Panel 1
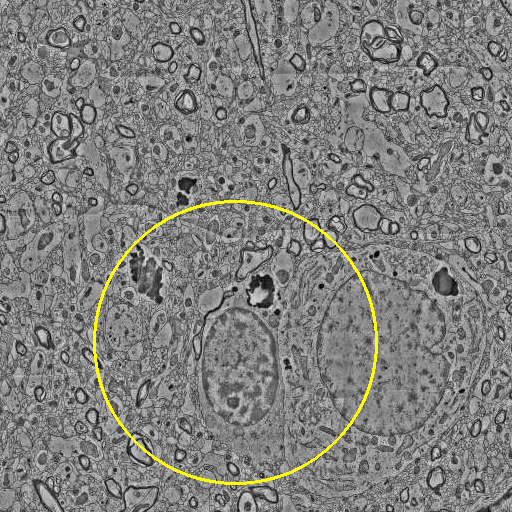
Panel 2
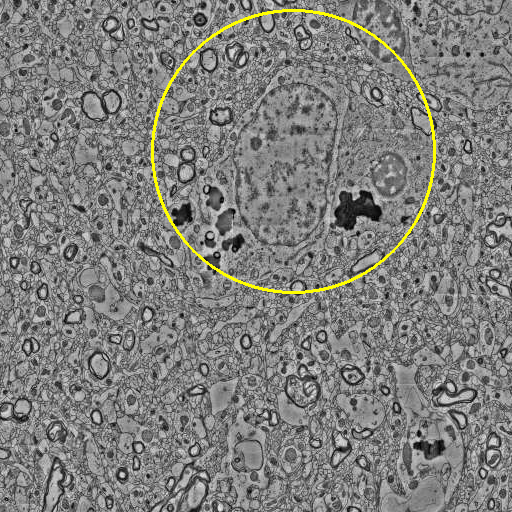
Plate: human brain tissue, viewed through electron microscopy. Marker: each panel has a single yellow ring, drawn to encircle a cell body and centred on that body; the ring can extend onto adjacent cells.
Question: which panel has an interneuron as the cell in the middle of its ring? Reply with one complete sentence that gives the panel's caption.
Panel 2 is where the requested cell sits at the centre of the ring.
